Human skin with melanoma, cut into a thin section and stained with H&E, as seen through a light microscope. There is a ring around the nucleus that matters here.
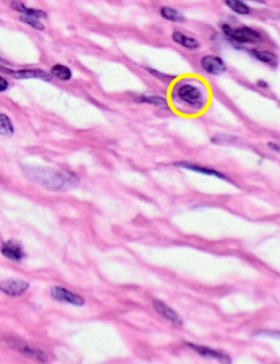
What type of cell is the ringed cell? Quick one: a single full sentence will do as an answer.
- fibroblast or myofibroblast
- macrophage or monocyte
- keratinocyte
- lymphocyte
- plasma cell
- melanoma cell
Right, so the ringed cell is a plasma cell, to answer that.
